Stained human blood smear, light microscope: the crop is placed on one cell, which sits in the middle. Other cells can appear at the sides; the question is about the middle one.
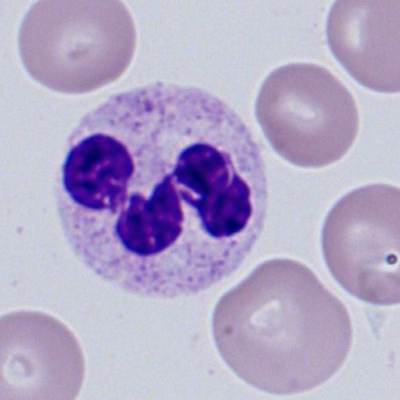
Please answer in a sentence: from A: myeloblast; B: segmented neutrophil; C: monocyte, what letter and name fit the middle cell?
What sits in the middle of the crop is a segmented neutrophil, and option B is correct.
